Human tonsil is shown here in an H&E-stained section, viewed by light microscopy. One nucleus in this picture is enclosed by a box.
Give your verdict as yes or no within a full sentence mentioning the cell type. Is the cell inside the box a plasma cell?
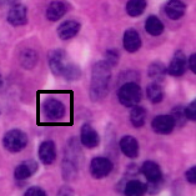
Yes, classifying the cell inside the box as a plasma cell is accurate.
